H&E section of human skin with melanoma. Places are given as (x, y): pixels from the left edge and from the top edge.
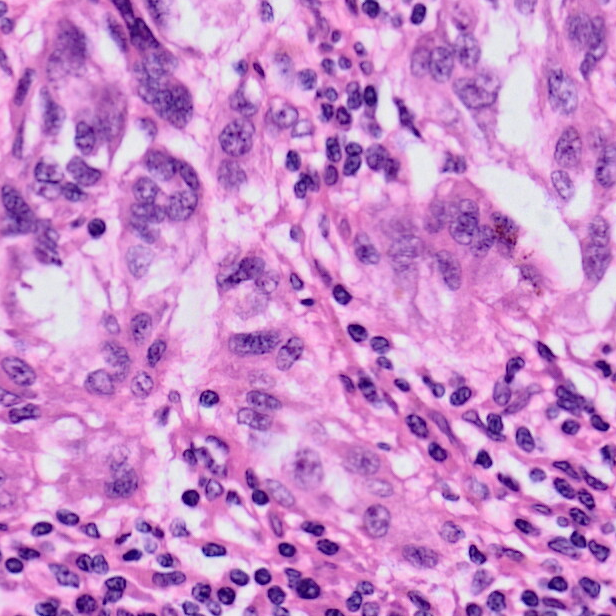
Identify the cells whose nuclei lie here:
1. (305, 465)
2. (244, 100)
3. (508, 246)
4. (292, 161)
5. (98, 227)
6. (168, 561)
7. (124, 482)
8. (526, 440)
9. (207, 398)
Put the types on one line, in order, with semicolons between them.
melanoma cell; melanoma cell; melanoma cell; lymphocyte; lymphocyte; lymphocyte; melanoma cell; lymphocyte; lymphocyte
